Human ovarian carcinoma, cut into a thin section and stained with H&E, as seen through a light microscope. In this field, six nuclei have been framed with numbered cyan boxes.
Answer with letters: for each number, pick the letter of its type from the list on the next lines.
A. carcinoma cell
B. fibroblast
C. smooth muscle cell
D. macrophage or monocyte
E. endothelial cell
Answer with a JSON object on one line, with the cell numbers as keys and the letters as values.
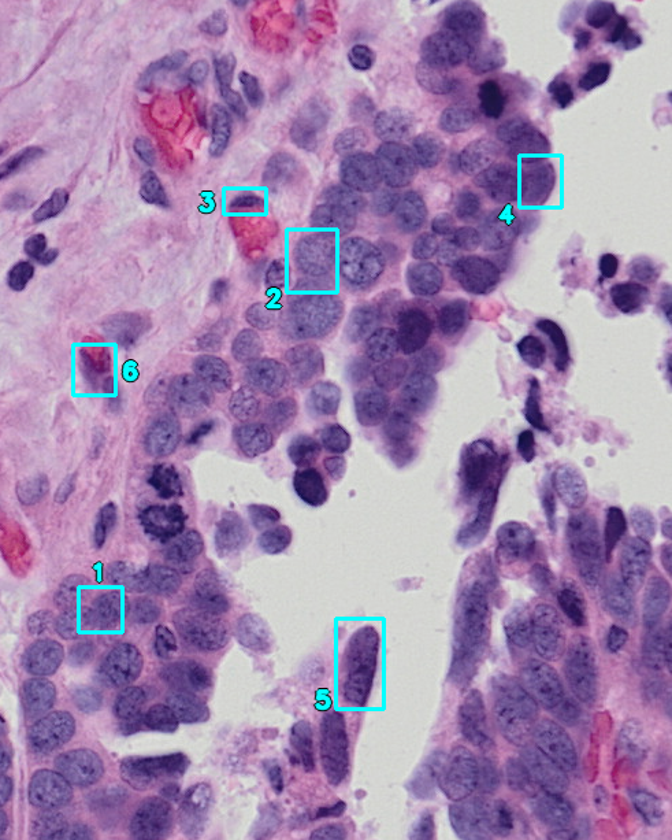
{"1": "A", "2": "A", "3": "E", "4": "A", "5": "A", "6": "E"}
